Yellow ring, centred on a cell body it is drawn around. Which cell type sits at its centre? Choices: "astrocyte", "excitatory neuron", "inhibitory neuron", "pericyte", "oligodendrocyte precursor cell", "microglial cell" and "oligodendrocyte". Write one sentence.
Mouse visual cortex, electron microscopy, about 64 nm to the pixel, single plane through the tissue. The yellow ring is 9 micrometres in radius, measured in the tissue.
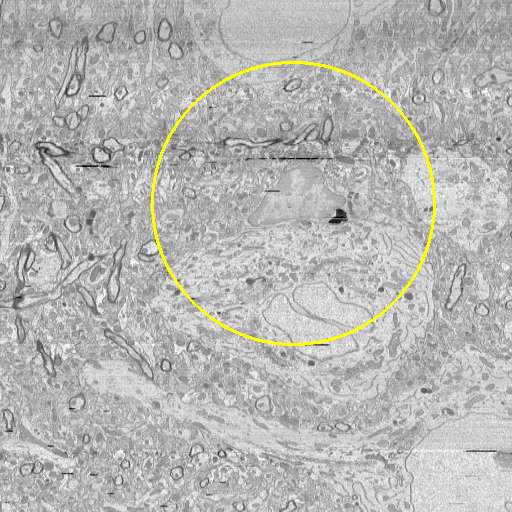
At the centre of the ring sits a microglial cell.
